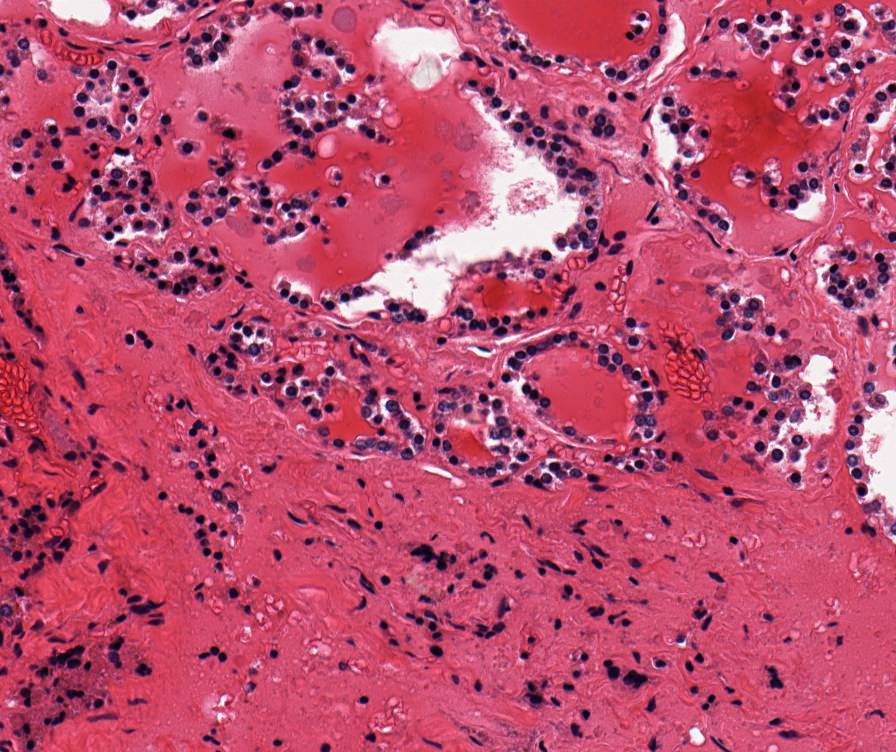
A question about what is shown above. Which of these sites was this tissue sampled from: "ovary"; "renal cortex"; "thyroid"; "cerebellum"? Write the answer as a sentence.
The site this tissue was sampled from is the thyroid.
